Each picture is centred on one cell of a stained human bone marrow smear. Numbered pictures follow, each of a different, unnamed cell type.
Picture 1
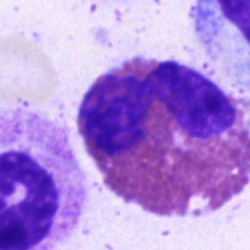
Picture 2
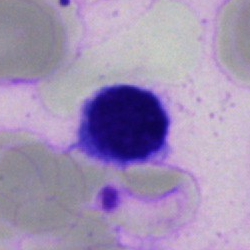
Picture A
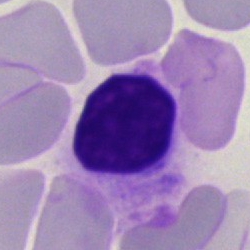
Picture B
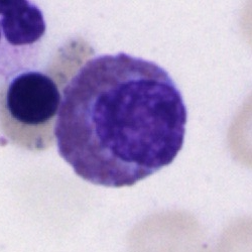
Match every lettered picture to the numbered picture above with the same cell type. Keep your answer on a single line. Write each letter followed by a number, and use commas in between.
A 2, B 1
